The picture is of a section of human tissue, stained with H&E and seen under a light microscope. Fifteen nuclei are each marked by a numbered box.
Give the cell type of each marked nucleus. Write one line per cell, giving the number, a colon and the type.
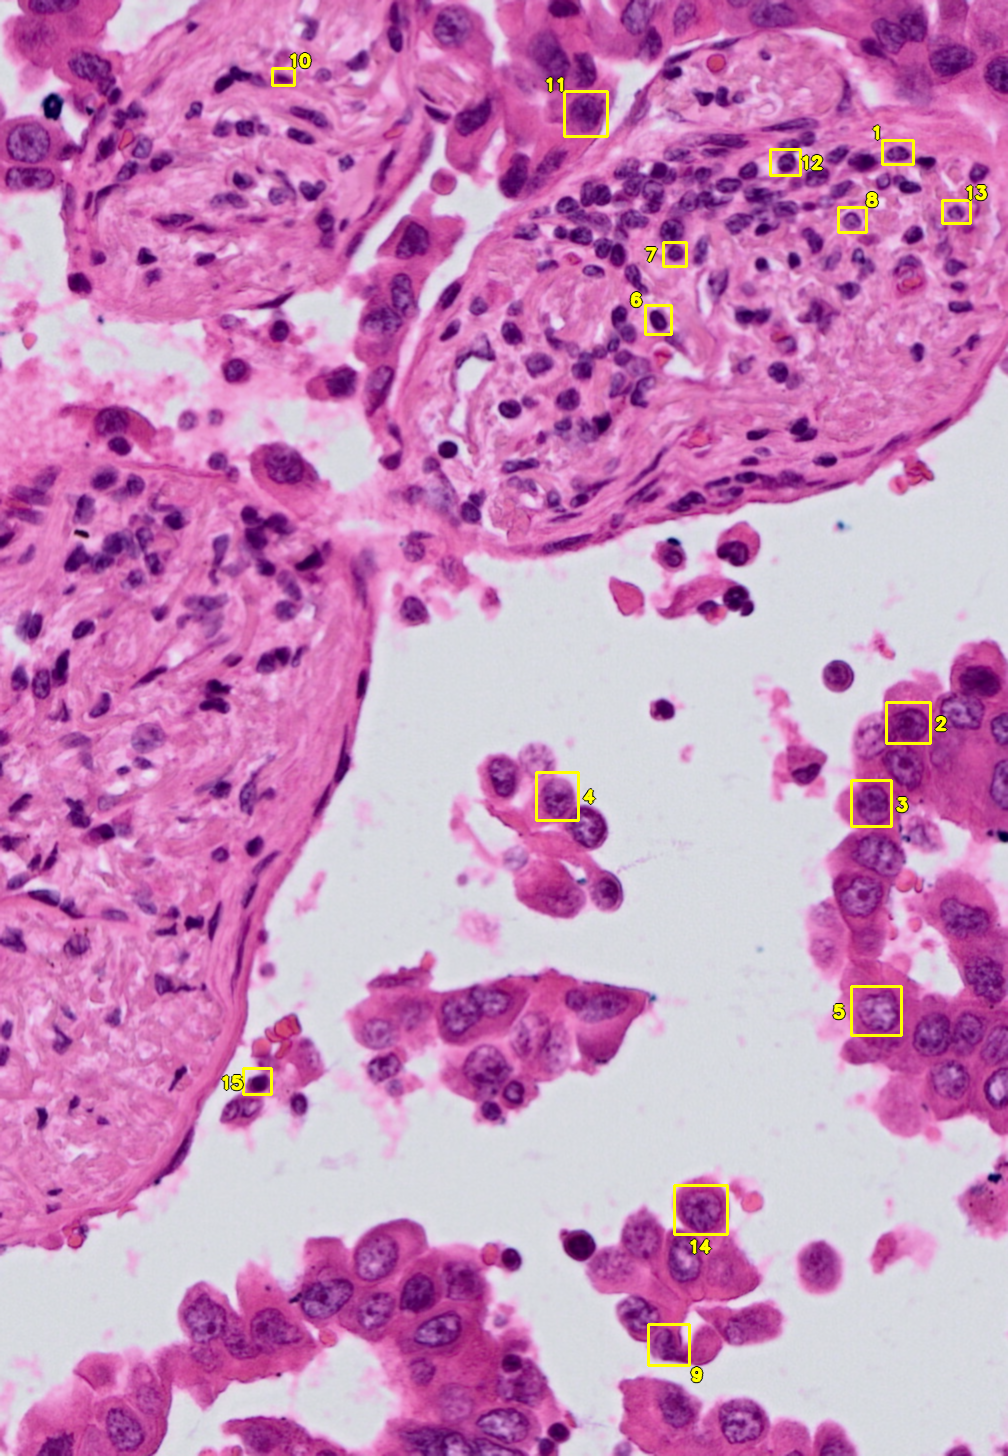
1: lymphocyte
2: carcinoma cell
3: carcinoma cell
4: carcinoma cell
5: carcinoma cell
6: lymphocyte
7: lymphocyte
8: lymphocyte
9: carcinoma cell
10: plasma cell
11: carcinoma cell
12: lymphocyte
13: lymphocyte
14: carcinoma cell
15: lymphocyte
